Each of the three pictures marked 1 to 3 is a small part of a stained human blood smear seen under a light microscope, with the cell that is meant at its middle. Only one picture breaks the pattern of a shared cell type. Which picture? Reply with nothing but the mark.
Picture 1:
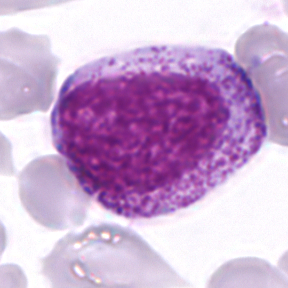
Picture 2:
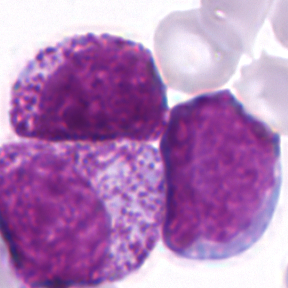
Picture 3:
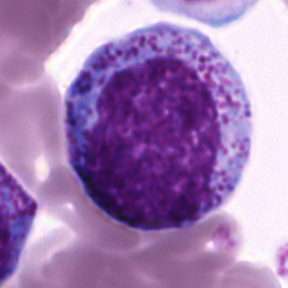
2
